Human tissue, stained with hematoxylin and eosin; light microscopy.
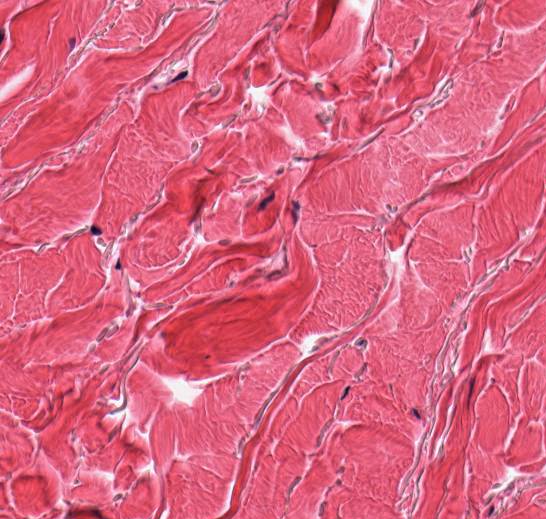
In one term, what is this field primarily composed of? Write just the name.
dermis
